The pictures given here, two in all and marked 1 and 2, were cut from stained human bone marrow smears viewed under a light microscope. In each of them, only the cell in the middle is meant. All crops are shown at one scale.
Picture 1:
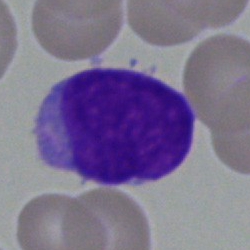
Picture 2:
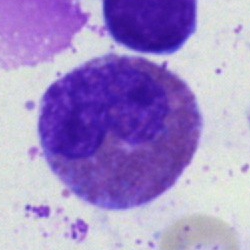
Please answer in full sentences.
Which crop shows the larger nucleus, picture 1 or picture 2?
Larger is the nucleus in picture 1, at roughly 1.5 times the area of the other.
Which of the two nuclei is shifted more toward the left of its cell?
It is the nucleus in picture 2 that lies further toward the left of its cell.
